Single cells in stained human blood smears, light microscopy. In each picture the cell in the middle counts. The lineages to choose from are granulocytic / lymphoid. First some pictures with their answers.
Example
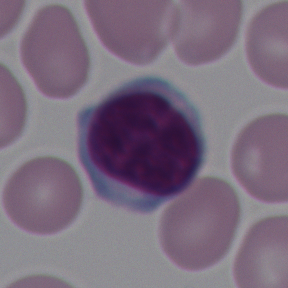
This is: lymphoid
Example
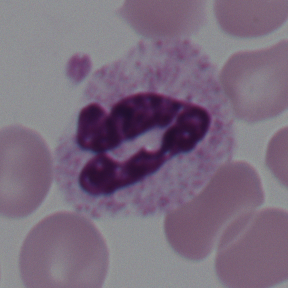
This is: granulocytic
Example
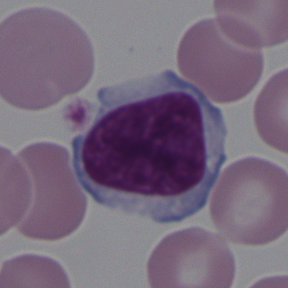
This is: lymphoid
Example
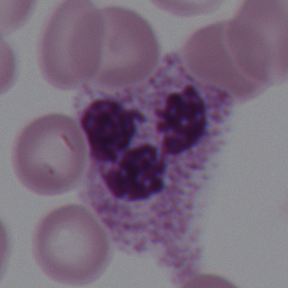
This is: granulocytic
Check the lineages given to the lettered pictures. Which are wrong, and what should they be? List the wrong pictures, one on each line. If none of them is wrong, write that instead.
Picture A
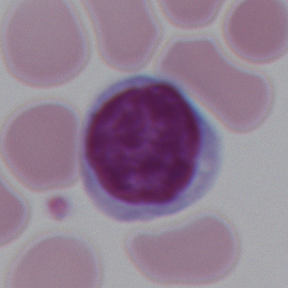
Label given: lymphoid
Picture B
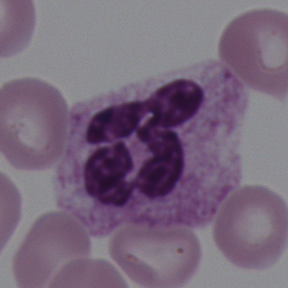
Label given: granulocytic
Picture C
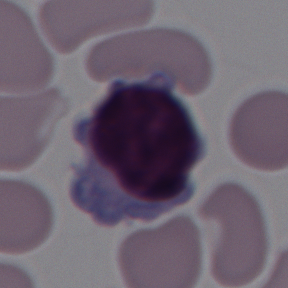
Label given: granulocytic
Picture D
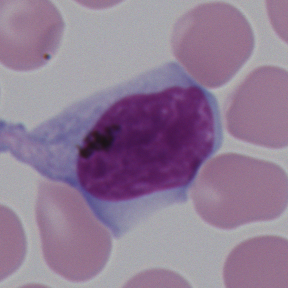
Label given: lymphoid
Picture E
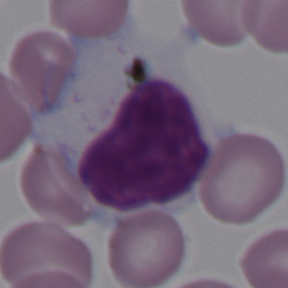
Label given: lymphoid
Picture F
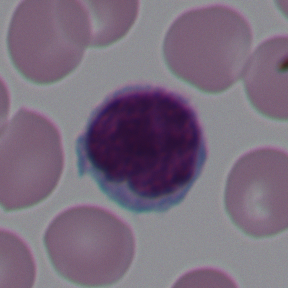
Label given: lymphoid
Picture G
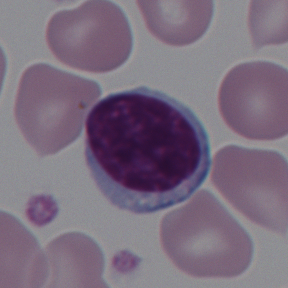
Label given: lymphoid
C should be lymphoid, not granulocytic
